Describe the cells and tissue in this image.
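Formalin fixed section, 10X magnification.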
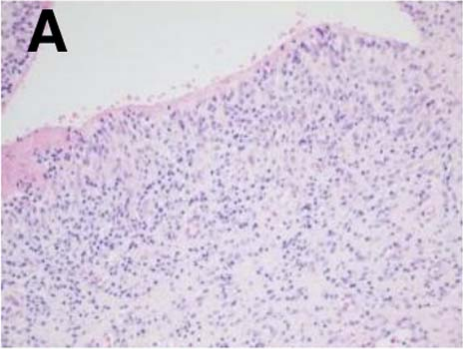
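A soft-tissue surface runs along the top, with a thin pink layer at its edge. Beneath it lies loose, pale stroma. Many small cells with round dark-blue nuclei and little cytoplasm are strewn evenly through that stroma. They do not gather into clusters or nodules. This is a diffuse lymphocyte infiltrate.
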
